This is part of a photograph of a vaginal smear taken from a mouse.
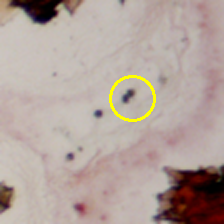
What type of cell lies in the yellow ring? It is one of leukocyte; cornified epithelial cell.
The ringed cell is a leukocyte.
